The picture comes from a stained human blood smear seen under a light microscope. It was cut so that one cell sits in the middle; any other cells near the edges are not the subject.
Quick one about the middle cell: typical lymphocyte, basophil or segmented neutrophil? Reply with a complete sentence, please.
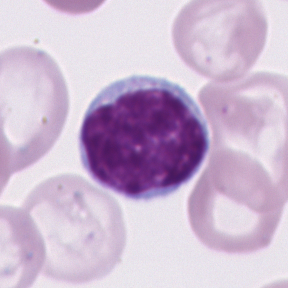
The target cell in the middle of the crop is a typical lymphocyte.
